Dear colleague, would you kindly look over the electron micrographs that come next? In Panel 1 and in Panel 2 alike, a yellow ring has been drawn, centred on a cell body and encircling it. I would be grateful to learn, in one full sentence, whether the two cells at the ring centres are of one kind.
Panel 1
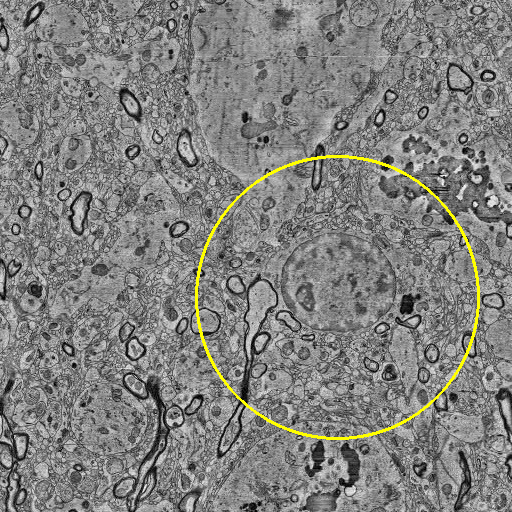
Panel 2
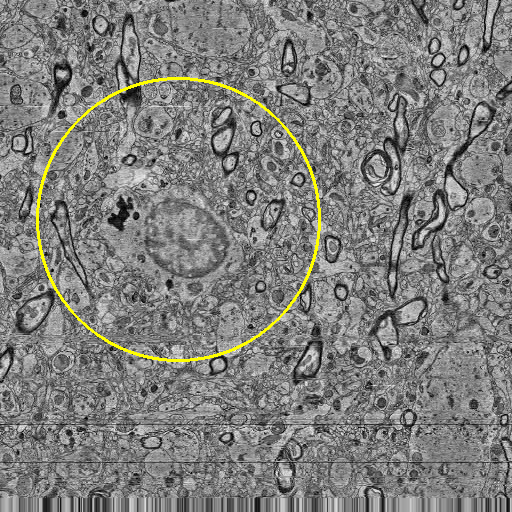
Yes, the cells in the middle of the rings in the two panels are of one kind.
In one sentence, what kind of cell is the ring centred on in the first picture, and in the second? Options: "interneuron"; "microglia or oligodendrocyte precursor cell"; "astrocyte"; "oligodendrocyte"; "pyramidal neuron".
Both the first and the second picture show an oligodendrocyte in the ring.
